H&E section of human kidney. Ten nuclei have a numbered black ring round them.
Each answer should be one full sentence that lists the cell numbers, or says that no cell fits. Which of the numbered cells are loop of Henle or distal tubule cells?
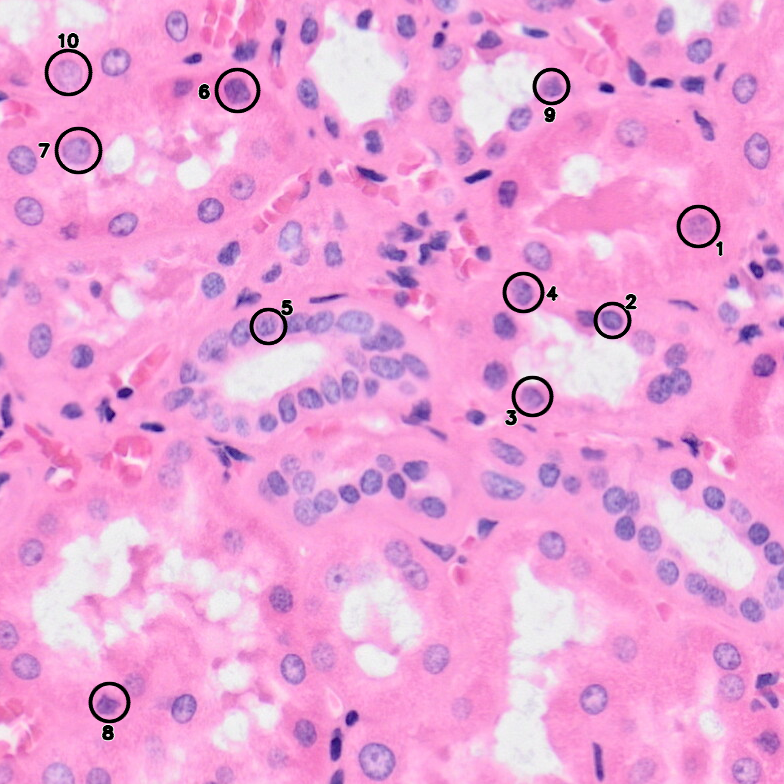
Cells that were given the numbers 2, 3, 4 and 9 are loop of Henle or distal tubule cells.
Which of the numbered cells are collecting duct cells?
Among the labelled cells, only the cell labelled 5 is a collecting duct cell.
